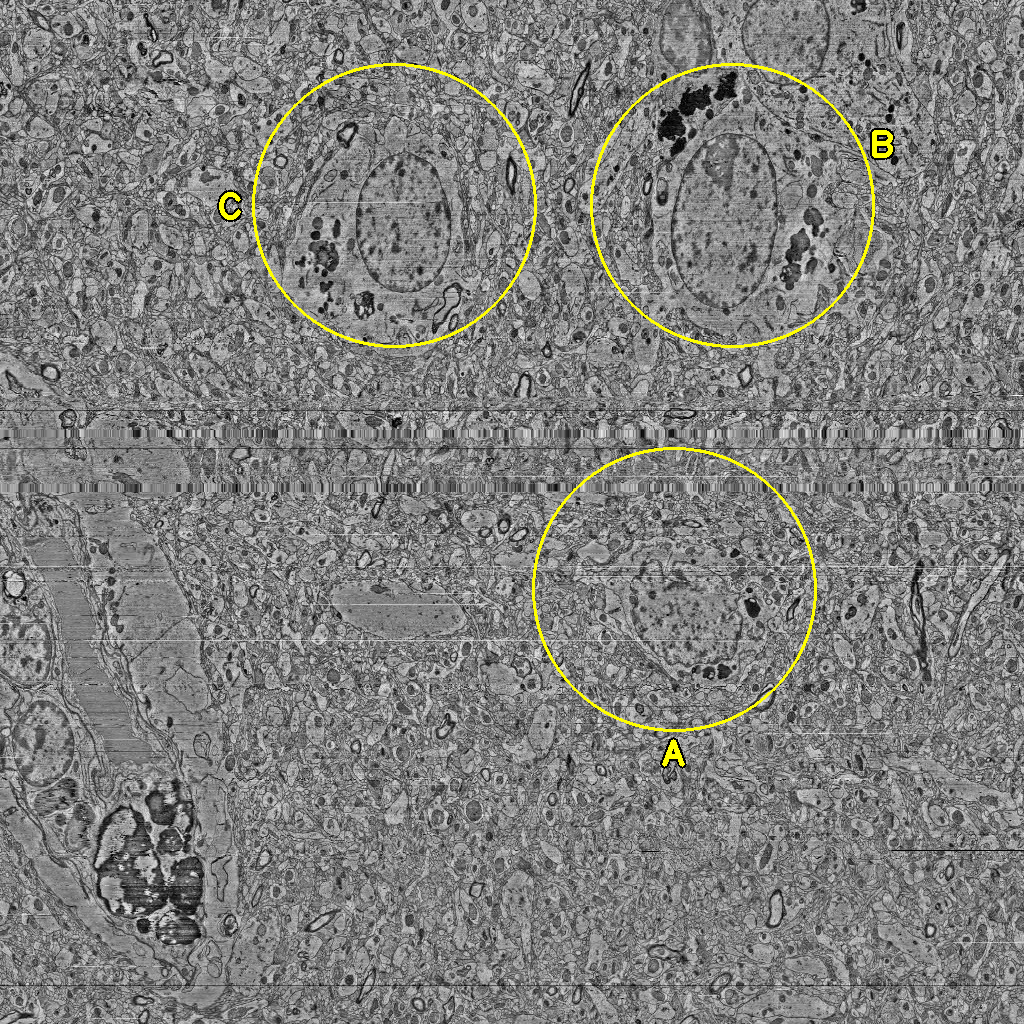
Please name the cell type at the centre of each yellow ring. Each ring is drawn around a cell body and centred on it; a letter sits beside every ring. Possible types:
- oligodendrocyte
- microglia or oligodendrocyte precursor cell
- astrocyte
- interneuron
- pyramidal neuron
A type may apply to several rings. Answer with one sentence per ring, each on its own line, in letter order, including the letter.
Ring A is centred on the cell body of an interneuron.
Ring B is centred on the cell body of an astrocyte.
Ring C is centred on the cell body of an astrocyte.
